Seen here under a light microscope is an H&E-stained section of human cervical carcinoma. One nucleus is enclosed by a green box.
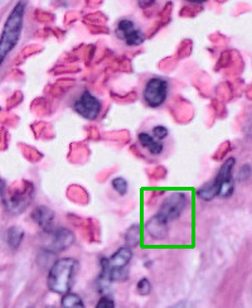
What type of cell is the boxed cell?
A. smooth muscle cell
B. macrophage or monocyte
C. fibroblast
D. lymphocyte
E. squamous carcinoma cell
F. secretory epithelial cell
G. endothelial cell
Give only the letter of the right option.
G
